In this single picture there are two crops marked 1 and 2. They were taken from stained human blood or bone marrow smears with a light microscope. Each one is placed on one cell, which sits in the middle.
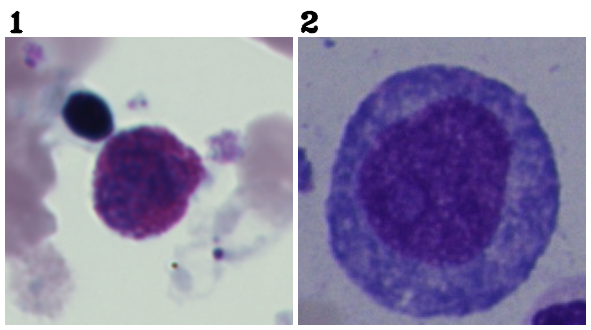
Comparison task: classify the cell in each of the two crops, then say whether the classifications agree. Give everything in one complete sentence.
No, crop 1 gives us an eosinophil and crop 2 gives us a promyelocyte.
